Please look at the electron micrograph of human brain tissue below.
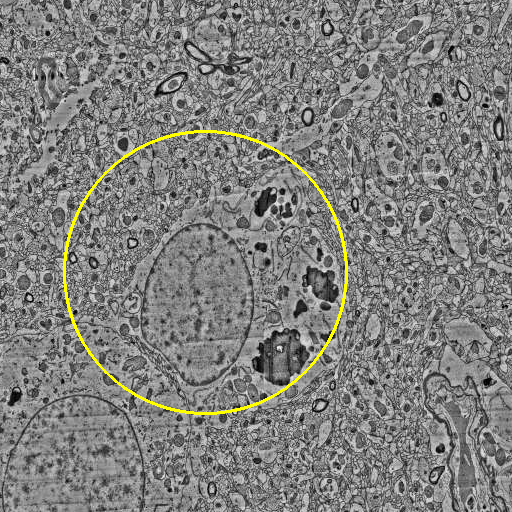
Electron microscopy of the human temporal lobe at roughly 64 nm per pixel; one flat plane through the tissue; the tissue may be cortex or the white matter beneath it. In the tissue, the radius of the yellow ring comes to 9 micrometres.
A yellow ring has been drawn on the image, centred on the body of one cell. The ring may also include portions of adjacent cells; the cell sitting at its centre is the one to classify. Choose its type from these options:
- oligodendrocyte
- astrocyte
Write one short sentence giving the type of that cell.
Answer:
The cell in the middle of the ring is an astrocyte.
